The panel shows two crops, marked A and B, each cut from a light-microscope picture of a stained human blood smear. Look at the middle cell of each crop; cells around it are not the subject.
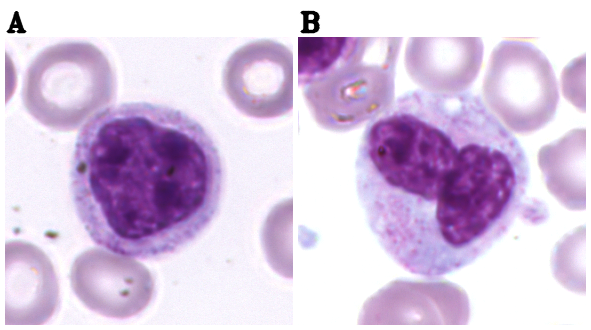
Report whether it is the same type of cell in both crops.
no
